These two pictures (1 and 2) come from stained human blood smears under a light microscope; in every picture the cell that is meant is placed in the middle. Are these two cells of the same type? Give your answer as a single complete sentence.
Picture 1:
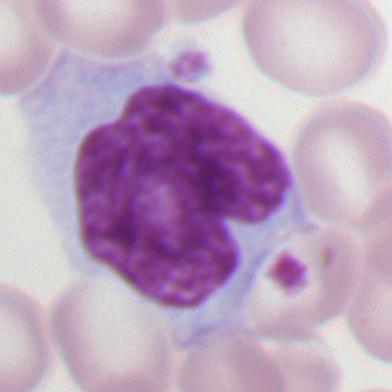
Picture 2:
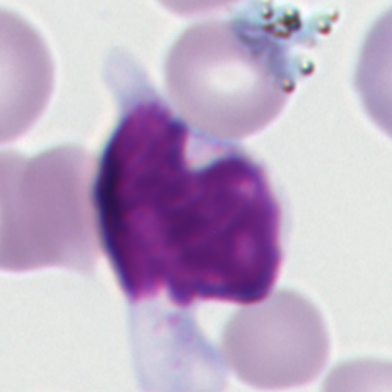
No. Picture 1 shows a monocyte, but picture 2 shows a large granular lymphocyte.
